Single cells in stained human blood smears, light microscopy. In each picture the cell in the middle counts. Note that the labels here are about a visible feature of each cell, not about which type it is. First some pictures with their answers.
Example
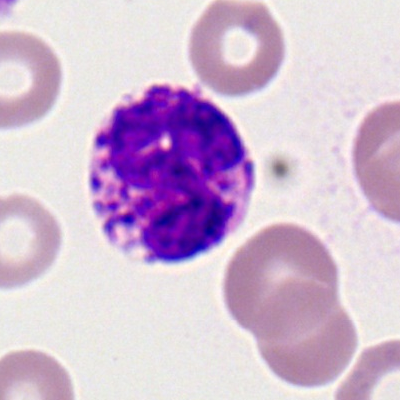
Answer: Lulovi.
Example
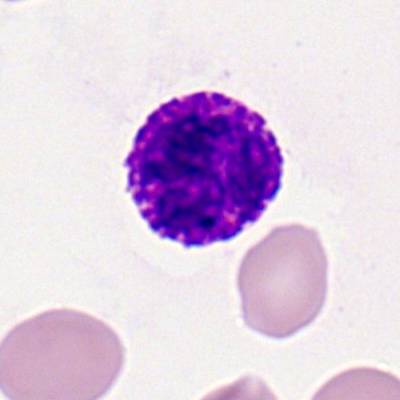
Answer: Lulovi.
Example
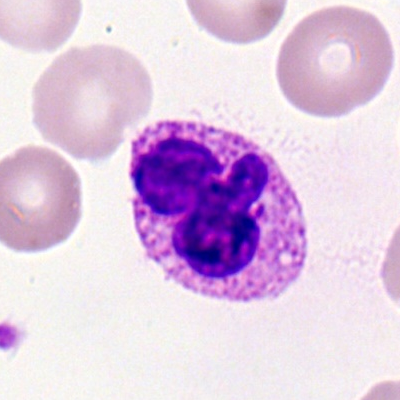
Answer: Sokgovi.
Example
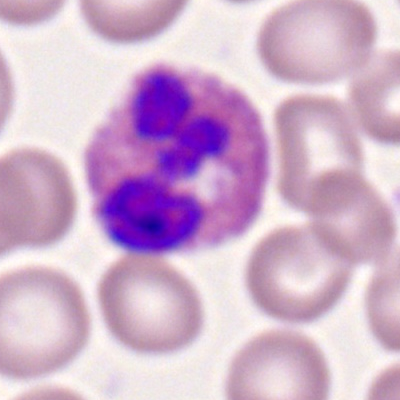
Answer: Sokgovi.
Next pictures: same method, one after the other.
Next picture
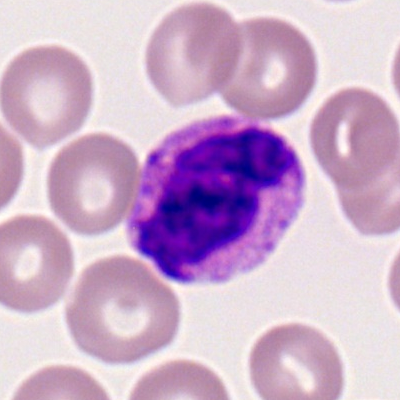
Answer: Sokgovi.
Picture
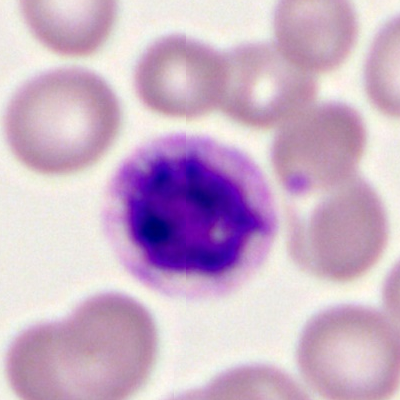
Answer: Sokgovi.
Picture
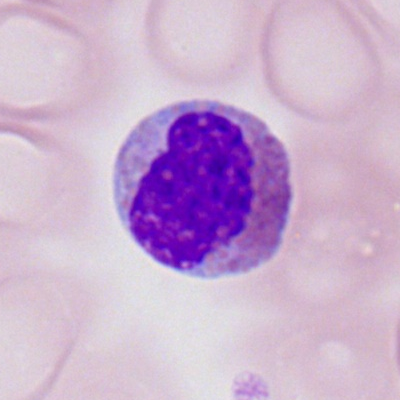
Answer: Sokgovi.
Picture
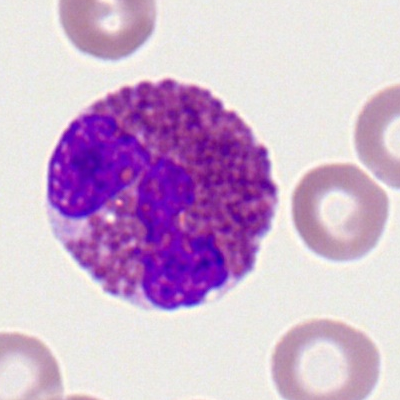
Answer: Lulovi.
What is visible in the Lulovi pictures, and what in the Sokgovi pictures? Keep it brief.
Lulovi, coarse or large granules; Sokgovi, fine or small granules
